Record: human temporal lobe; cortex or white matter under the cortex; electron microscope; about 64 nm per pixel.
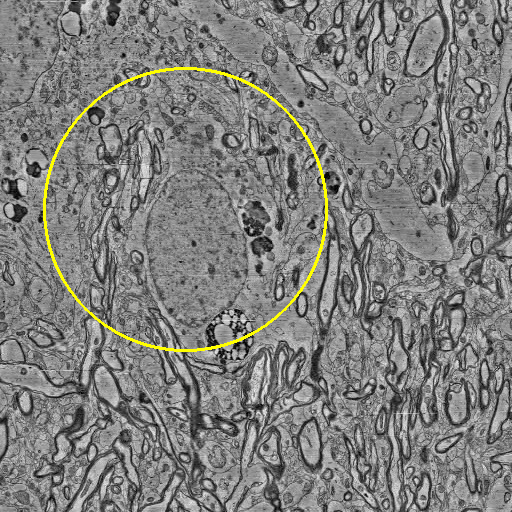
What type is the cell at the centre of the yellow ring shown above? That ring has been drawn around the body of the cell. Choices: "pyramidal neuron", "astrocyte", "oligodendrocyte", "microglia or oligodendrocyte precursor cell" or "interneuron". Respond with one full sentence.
My answer is that an astrocyte lies at the centre of the yellow ring above.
